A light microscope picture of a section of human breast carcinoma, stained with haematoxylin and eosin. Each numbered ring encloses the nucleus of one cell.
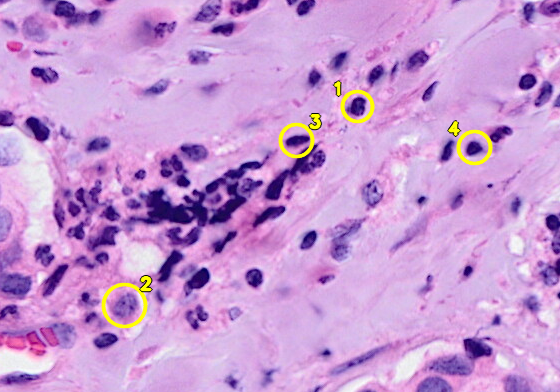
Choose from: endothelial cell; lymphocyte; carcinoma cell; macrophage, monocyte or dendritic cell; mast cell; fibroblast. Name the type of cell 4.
lymphocyte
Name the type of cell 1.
lymphocyte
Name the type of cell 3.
lymphocyte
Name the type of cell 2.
mast cell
